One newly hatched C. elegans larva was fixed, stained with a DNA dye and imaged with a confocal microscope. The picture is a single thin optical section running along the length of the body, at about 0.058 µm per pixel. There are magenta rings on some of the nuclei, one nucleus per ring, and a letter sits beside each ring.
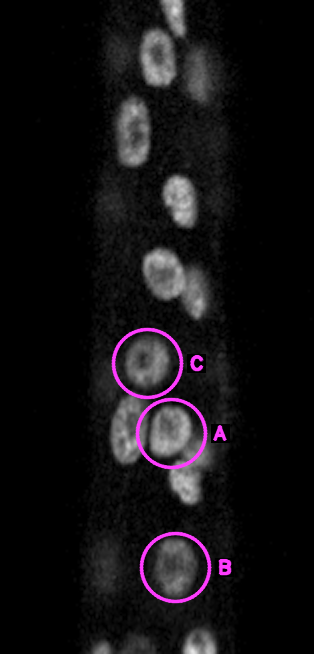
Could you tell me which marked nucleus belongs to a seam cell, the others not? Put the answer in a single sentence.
It is B that belongs to a seam cell.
